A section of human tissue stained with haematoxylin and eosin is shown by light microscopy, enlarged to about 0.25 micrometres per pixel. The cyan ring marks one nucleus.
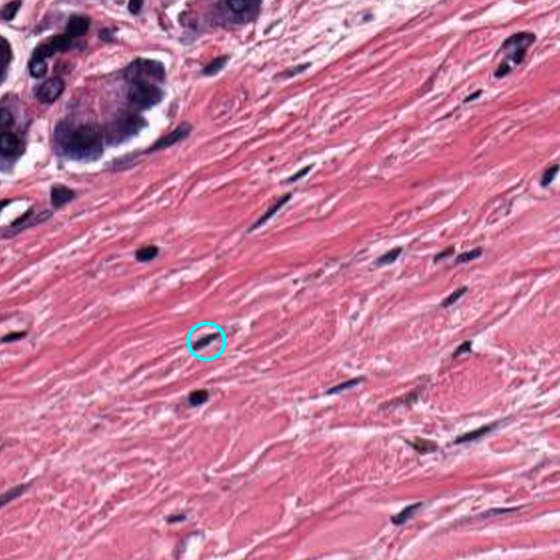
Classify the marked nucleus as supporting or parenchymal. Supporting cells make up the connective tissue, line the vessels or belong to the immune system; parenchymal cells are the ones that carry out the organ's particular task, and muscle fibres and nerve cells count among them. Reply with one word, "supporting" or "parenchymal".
supporting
